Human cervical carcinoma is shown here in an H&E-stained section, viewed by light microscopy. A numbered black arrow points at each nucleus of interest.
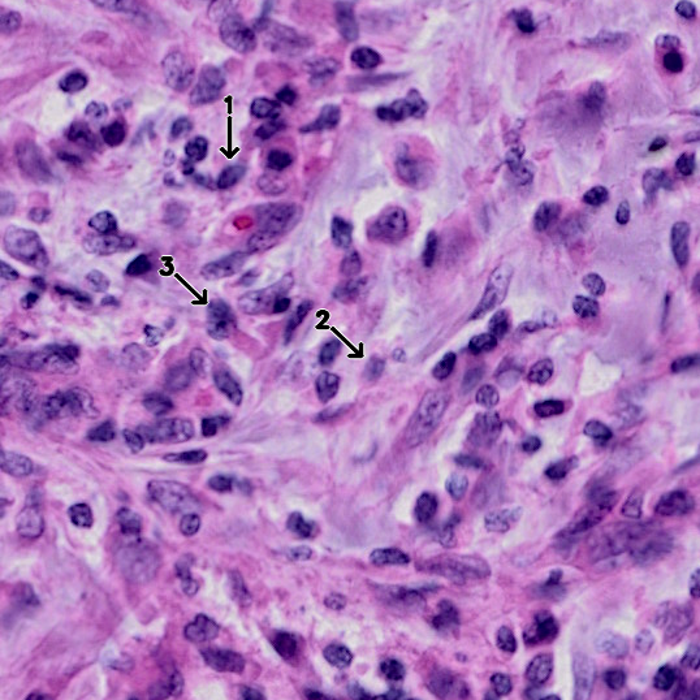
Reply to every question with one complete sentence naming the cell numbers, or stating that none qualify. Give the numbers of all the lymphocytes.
Marked by the numbers 1 and 3 are cells that are lymphocytes.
